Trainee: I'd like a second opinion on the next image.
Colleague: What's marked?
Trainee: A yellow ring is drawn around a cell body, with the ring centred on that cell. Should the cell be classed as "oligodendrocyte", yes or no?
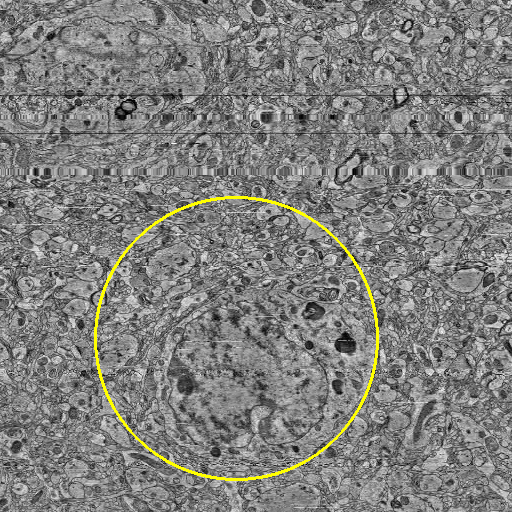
No, it should be classed as another kind.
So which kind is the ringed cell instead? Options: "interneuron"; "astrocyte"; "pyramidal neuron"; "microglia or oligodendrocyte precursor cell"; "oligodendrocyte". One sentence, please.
At the centre of the ring sits an interneuron.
